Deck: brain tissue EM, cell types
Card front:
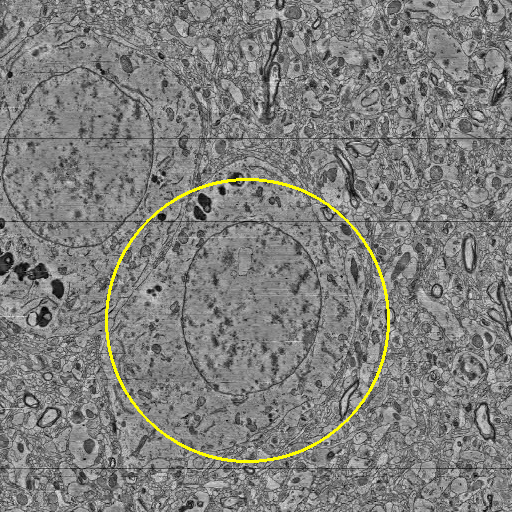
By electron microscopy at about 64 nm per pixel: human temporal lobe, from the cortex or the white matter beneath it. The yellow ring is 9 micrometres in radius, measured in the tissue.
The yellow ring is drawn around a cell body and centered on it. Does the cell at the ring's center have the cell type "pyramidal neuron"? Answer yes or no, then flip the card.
yes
